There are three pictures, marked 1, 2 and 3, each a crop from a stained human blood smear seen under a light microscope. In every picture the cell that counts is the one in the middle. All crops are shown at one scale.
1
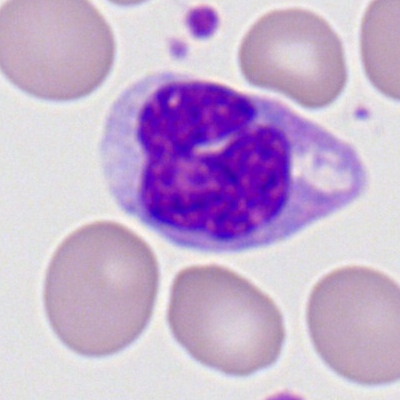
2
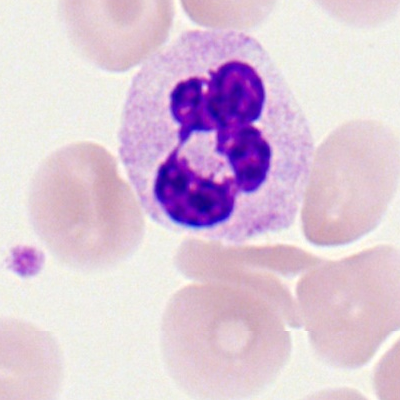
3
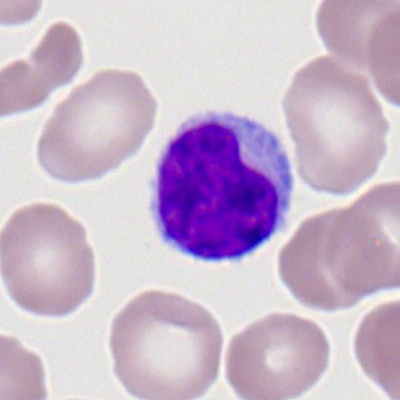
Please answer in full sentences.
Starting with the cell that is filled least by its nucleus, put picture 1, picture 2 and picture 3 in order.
They run 2, 1, 3, the least filled first.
